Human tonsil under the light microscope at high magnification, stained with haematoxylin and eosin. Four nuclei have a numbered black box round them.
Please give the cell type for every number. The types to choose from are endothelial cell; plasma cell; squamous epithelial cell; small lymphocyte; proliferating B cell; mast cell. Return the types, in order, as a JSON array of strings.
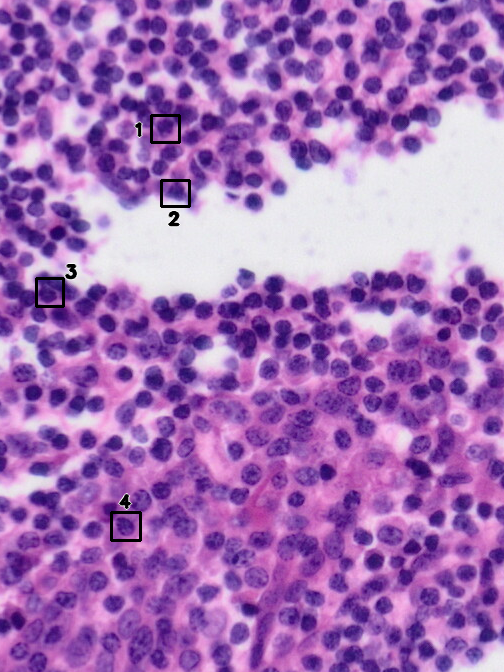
["small lymphocyte", "small lymphocyte", "small lymphocyte", "plasma cell"]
